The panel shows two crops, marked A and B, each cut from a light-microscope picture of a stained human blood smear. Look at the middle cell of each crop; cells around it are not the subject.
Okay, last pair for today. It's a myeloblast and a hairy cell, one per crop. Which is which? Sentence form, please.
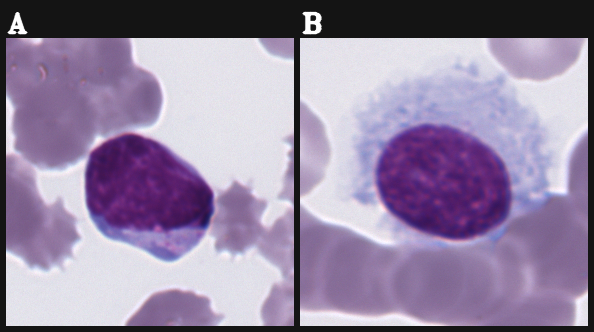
As for the pair, crop A is a myeloblast and crop B is a hairy cell.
